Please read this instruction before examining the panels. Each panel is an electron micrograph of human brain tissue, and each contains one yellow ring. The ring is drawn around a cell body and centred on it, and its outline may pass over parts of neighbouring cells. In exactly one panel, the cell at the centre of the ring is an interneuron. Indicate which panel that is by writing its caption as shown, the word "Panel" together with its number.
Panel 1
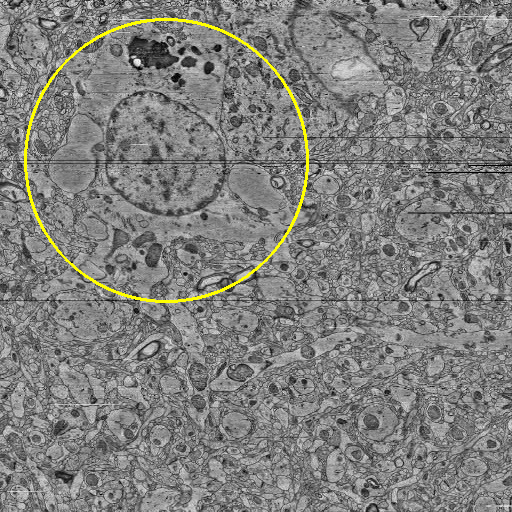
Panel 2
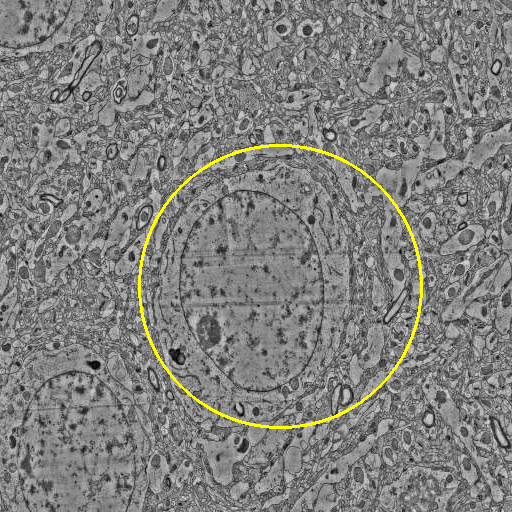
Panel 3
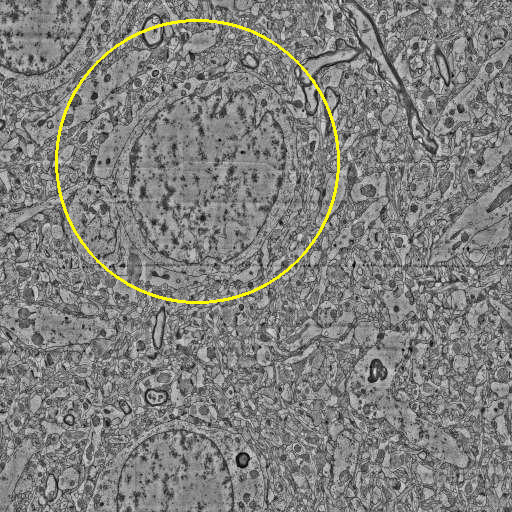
Panel 3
